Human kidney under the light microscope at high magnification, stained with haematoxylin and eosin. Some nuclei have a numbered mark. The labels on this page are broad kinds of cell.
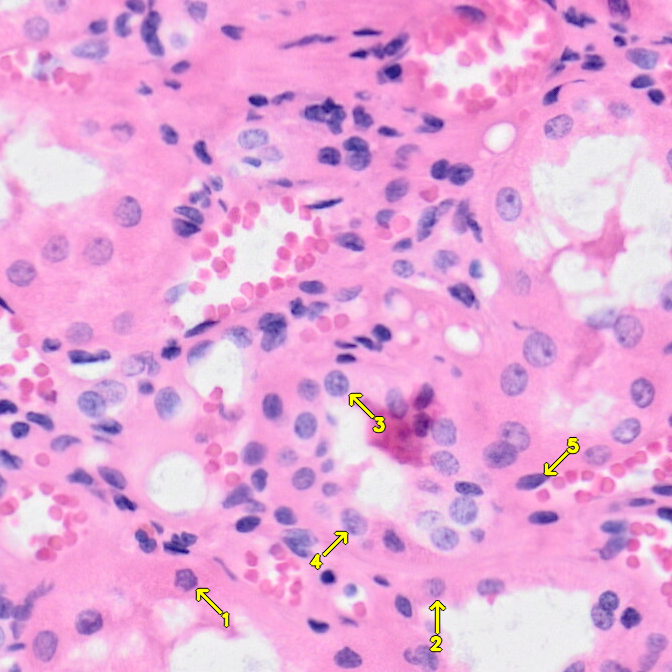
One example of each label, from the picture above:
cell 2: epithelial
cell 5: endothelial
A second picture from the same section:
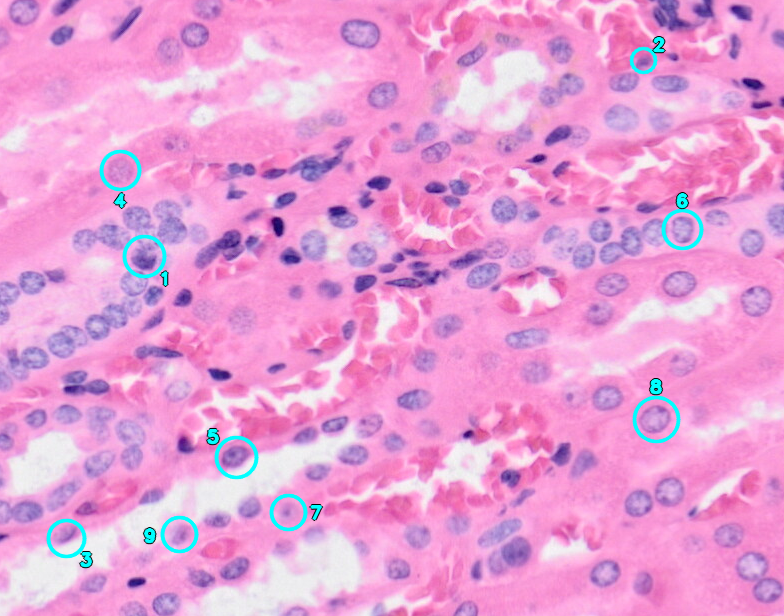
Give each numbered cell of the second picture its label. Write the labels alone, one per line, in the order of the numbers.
epithelial
endothelial
epithelial
epithelial
epithelial
epithelial
epithelial
epithelial
epithelial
